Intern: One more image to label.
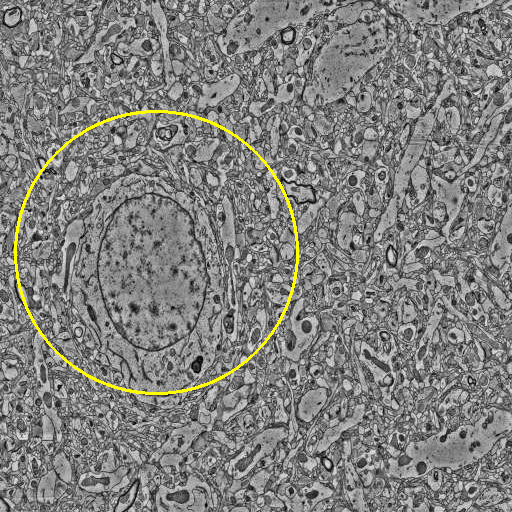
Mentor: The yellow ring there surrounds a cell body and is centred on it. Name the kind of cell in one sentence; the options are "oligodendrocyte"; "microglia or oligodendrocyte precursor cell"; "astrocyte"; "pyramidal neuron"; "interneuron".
The ring marks the cell body of a pyramidal neuron.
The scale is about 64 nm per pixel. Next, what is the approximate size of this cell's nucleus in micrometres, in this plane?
In this plane the nucleus spans approximately 10 by 7 micrometers.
